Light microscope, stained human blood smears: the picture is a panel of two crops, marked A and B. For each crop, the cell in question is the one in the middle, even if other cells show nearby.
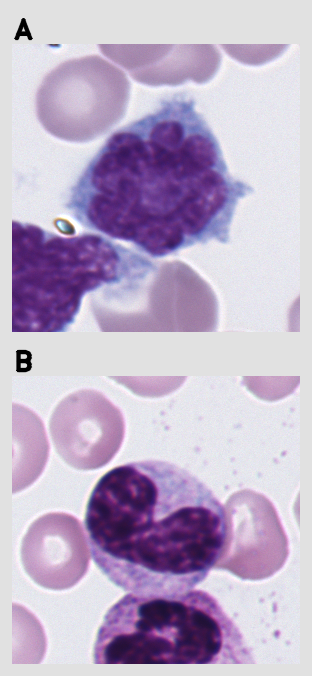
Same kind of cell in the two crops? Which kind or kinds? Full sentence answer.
No, crop A holds a monocyte, and a band neutrophil occupies crop B.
